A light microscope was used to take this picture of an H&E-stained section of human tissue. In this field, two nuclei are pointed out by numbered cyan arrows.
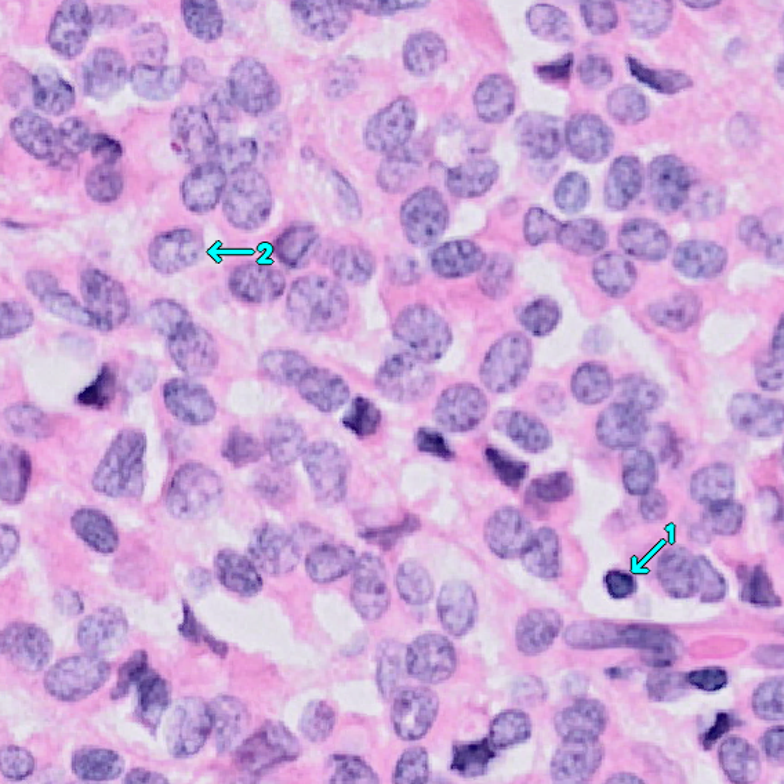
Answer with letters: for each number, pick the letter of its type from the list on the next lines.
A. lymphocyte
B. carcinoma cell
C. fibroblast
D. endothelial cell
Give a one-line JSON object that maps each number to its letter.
{"1": "A", "2": "B"}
